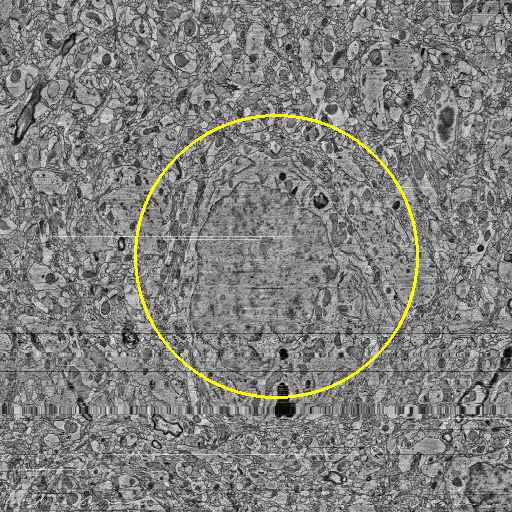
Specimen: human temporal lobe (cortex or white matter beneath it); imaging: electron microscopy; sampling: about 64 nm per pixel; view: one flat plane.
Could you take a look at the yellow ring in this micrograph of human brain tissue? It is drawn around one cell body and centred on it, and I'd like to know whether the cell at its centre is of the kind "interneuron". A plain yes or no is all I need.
yes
